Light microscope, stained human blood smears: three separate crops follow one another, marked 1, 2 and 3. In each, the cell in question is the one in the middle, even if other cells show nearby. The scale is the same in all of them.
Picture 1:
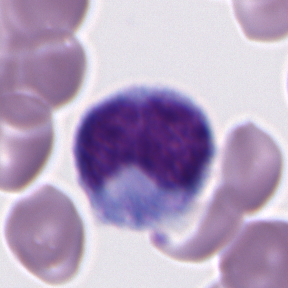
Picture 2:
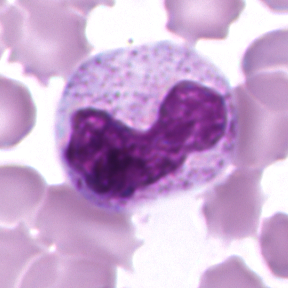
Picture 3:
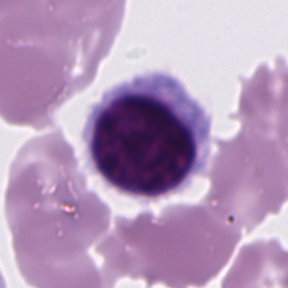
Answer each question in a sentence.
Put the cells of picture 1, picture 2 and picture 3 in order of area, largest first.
From the largest down, the order is 2, 1, 3.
